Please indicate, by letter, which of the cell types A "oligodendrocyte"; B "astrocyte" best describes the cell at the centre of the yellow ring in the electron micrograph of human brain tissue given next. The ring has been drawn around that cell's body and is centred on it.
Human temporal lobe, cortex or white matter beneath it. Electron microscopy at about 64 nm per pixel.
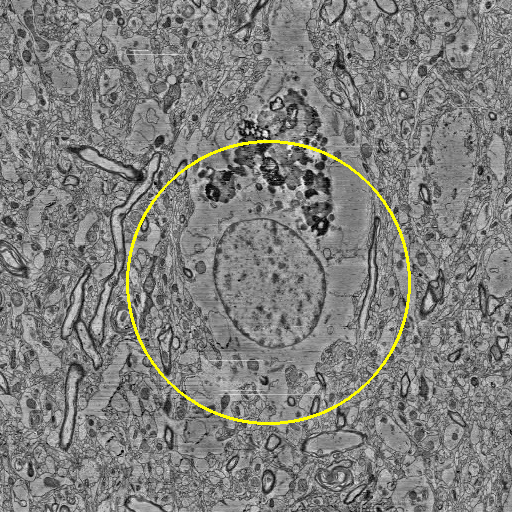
B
